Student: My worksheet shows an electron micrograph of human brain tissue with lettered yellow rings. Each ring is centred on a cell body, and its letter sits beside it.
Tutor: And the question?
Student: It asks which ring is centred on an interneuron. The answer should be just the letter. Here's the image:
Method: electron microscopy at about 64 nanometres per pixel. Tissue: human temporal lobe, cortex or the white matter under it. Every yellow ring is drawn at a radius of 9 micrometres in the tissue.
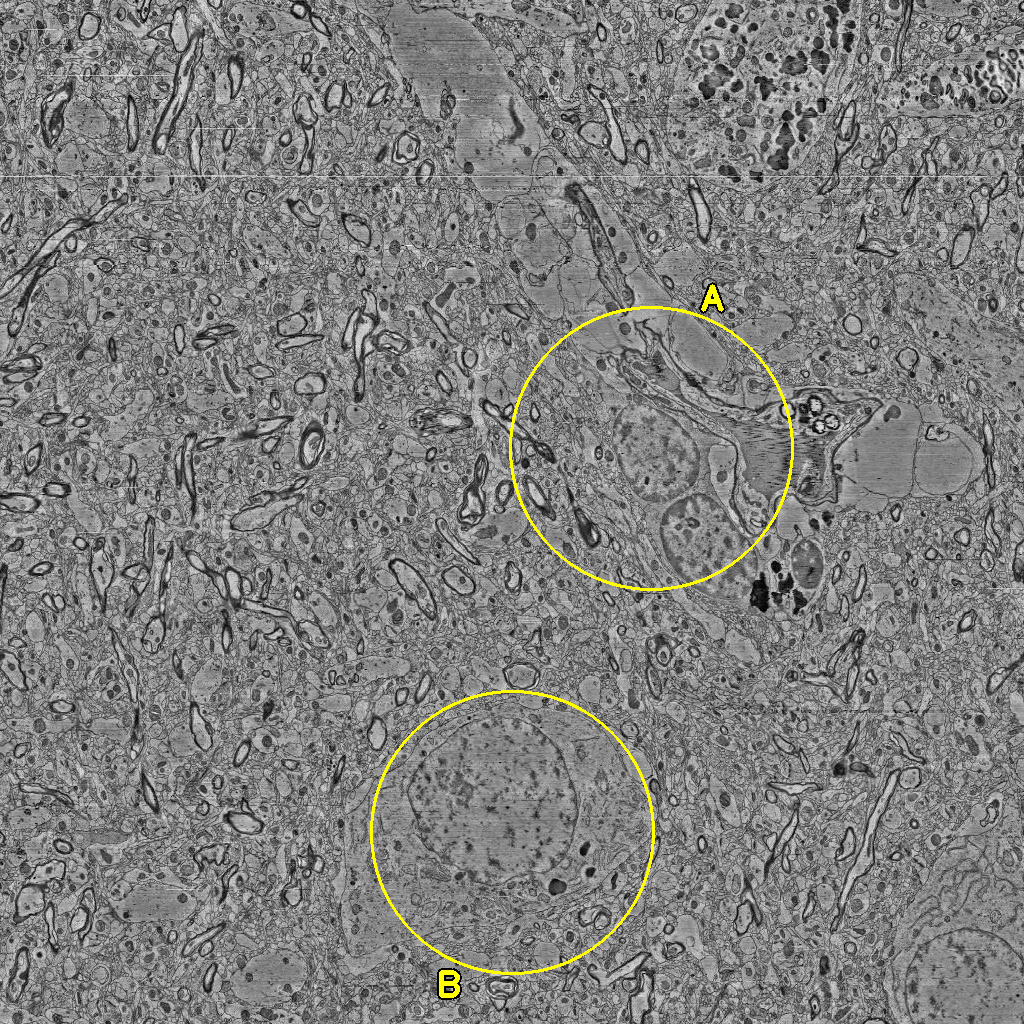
B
